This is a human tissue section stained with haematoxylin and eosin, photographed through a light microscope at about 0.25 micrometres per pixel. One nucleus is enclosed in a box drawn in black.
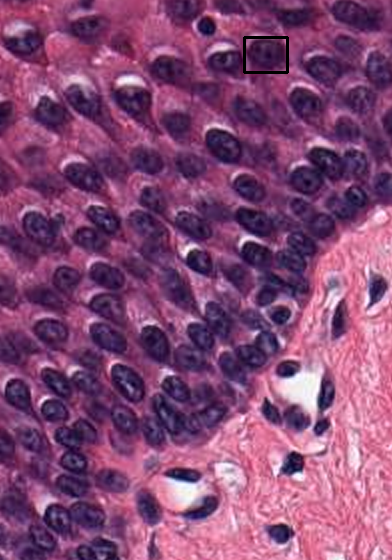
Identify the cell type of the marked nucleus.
squamous epithelial cell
